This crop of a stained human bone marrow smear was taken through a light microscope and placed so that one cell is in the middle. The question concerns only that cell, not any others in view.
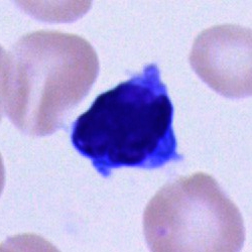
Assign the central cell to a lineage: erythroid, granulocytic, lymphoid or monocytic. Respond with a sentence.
The cell in the middle comes from the lymphoid lineage of blood cells.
